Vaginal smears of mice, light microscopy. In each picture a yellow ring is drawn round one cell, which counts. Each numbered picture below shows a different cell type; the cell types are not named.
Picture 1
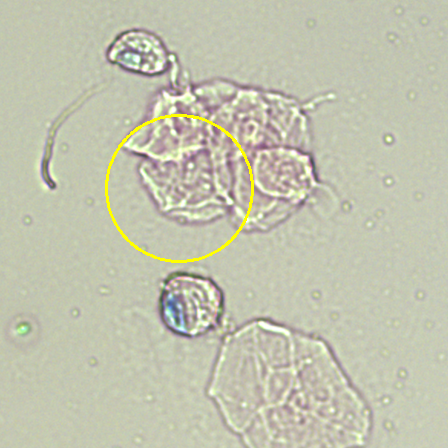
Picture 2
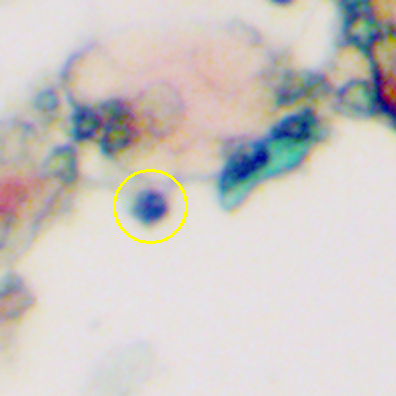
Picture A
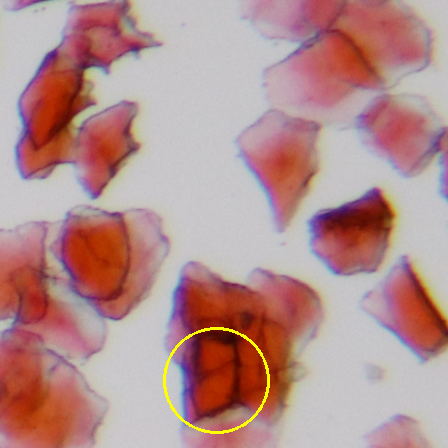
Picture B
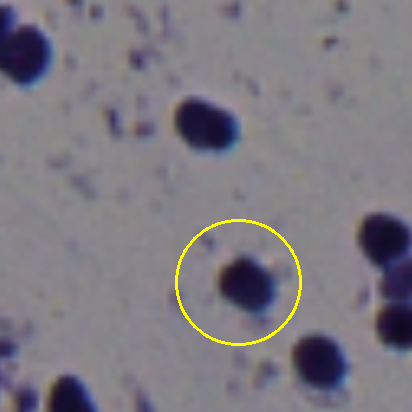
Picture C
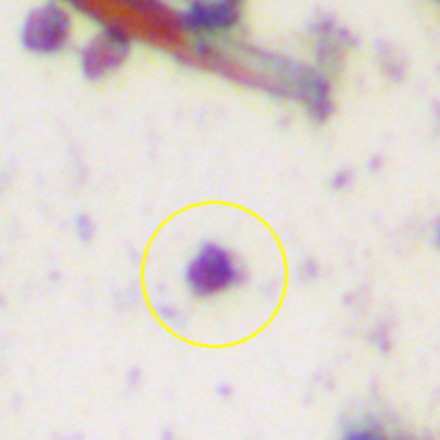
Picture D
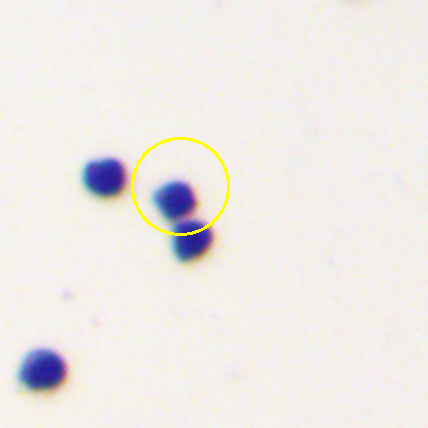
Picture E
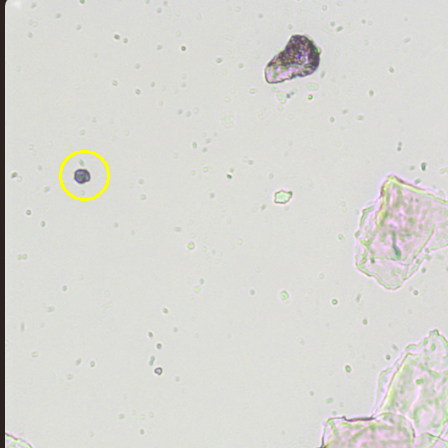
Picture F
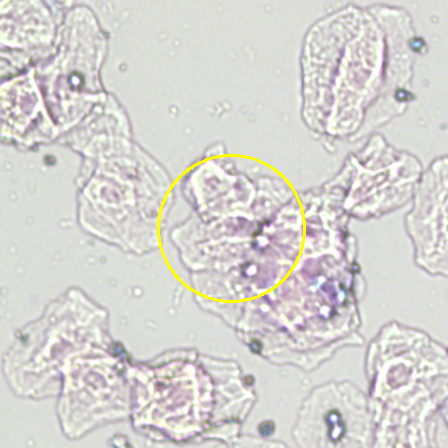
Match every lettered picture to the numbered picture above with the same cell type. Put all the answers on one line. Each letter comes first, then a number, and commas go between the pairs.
A 1, B 2, C 2, D 2, E 2, F 1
